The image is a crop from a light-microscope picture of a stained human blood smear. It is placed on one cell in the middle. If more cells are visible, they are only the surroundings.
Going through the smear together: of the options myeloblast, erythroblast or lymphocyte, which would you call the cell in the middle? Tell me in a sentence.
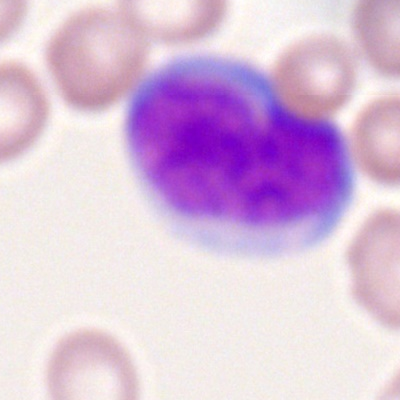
The middle of this crop is occupied by a myeloblast.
